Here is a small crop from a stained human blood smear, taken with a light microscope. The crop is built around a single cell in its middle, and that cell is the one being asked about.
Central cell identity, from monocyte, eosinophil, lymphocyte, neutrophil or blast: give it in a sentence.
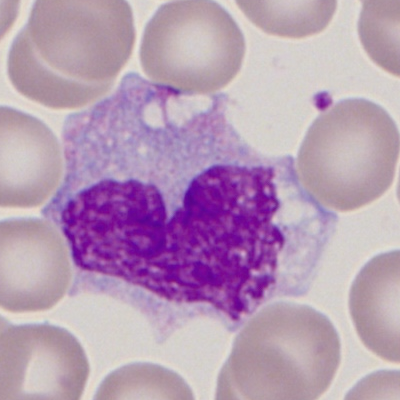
By classification, the middle cell of this crop is a monocyte.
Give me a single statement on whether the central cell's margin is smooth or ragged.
A smooth outline is absent here, replaced by ragged stretches or projections.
